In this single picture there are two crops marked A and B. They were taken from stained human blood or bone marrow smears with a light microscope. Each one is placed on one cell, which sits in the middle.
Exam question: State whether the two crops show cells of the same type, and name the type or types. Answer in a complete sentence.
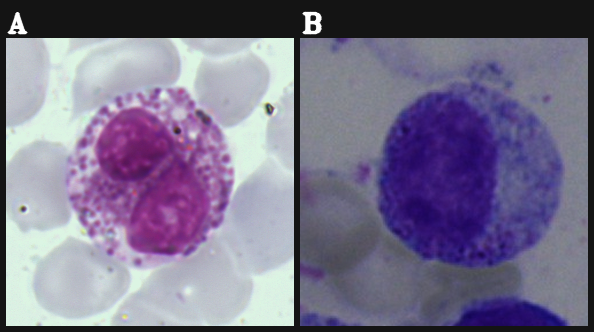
No, crop A displays an eosinophil and crop B displays a myelocyte.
